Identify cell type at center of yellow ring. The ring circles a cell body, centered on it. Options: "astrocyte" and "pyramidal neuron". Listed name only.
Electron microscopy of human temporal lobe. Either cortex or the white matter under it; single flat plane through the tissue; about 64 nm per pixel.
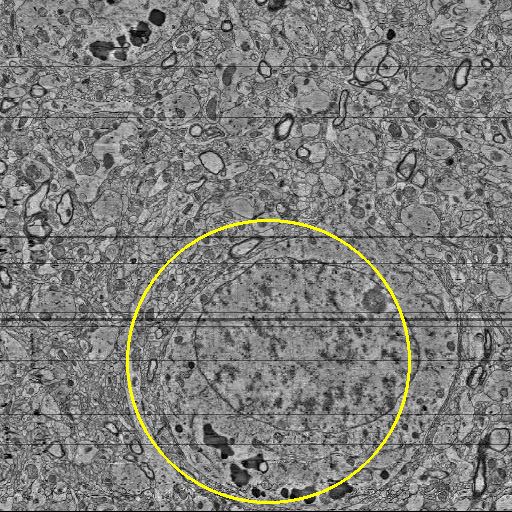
pyramidal neuron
